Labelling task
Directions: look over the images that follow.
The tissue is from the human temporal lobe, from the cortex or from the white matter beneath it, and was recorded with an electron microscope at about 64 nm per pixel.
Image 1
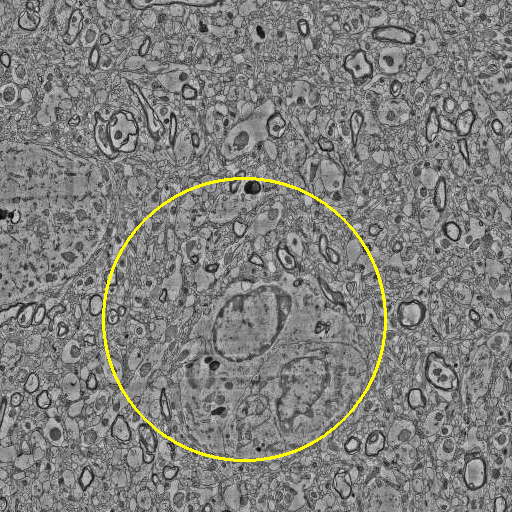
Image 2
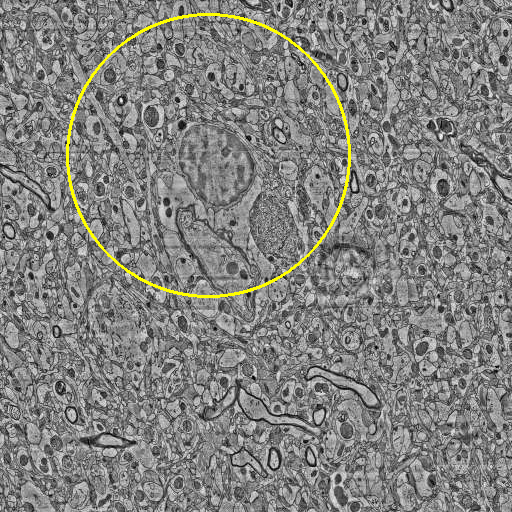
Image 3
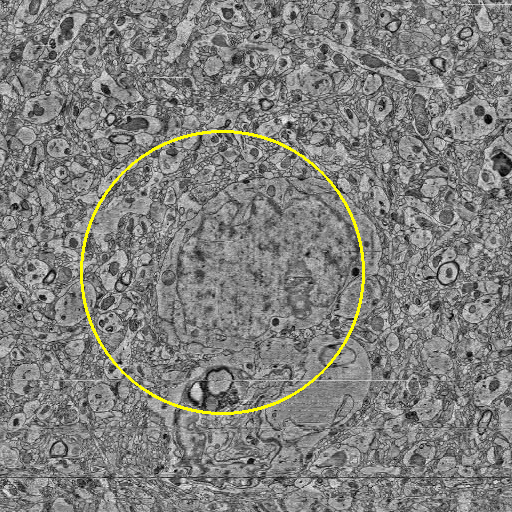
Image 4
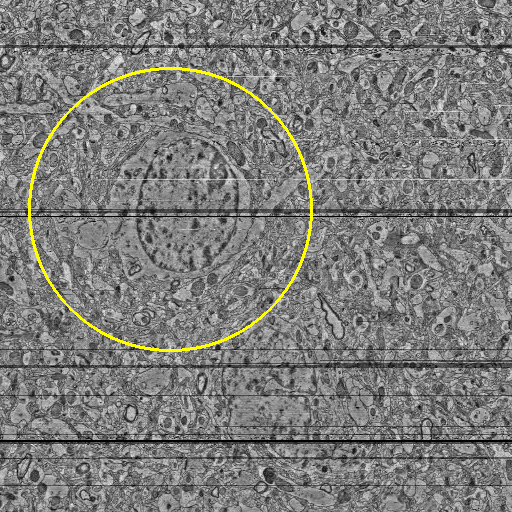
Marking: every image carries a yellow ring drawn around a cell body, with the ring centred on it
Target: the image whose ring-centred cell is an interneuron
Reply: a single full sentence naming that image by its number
The requested cell sits at the ring's centre in Image 3.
